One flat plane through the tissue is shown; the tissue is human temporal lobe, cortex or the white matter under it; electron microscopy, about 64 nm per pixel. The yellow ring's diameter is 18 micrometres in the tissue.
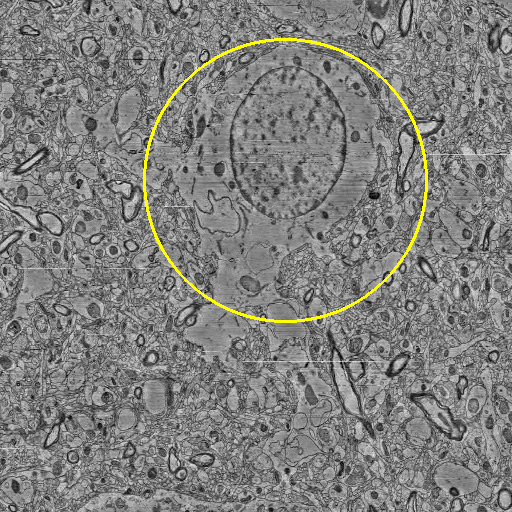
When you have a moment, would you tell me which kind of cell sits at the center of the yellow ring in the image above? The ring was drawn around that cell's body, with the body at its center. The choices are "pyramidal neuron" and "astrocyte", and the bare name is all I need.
astrocyte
